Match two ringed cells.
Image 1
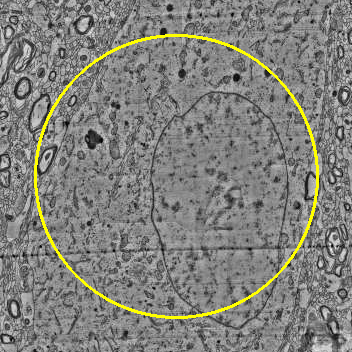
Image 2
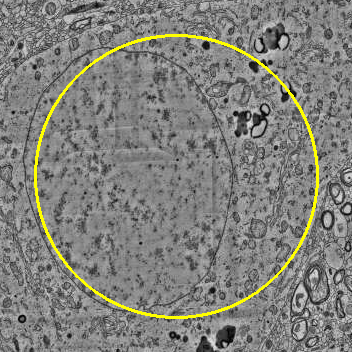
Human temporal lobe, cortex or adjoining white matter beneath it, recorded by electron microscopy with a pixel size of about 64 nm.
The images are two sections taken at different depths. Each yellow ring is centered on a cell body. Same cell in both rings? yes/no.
no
